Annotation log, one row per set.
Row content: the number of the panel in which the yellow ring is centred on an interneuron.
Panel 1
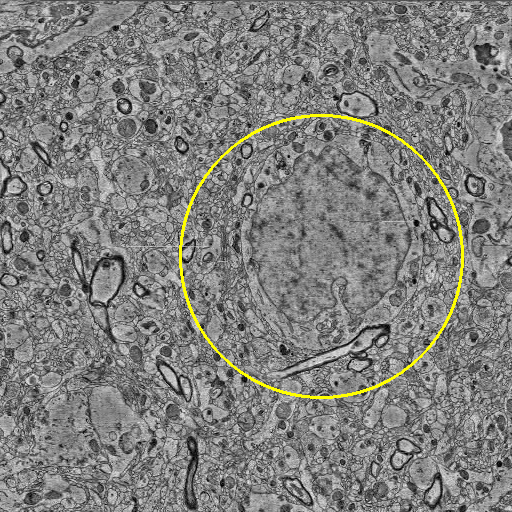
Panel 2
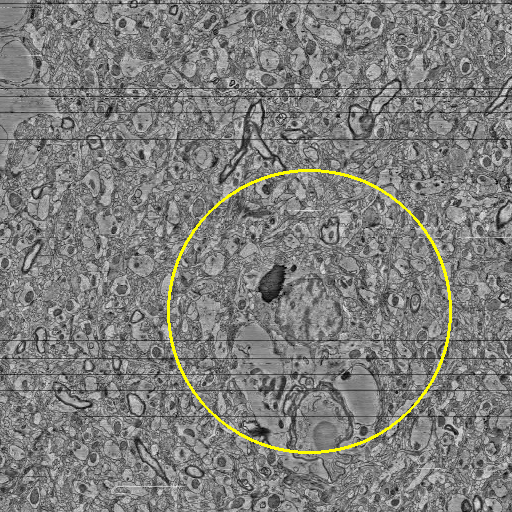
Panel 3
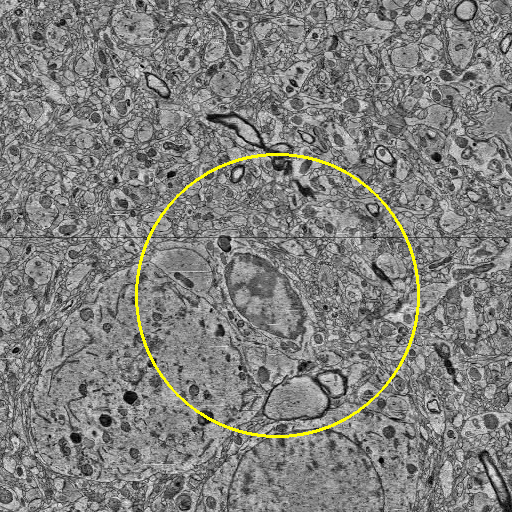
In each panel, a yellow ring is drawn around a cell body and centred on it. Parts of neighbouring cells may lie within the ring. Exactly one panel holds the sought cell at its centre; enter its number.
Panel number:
1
